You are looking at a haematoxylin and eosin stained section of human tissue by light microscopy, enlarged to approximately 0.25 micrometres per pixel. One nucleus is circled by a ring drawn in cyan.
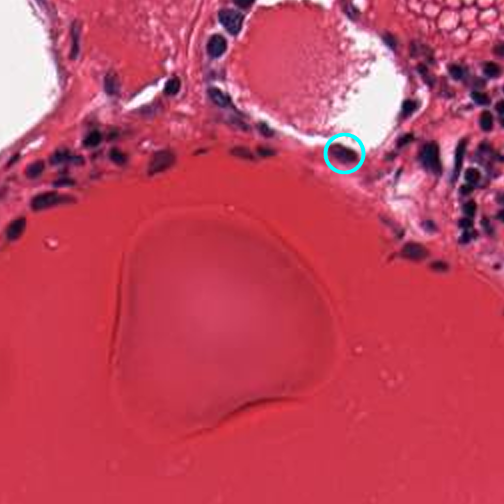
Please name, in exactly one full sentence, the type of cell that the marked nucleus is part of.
Part of a thyroid follicular cell is the marked nucleus.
